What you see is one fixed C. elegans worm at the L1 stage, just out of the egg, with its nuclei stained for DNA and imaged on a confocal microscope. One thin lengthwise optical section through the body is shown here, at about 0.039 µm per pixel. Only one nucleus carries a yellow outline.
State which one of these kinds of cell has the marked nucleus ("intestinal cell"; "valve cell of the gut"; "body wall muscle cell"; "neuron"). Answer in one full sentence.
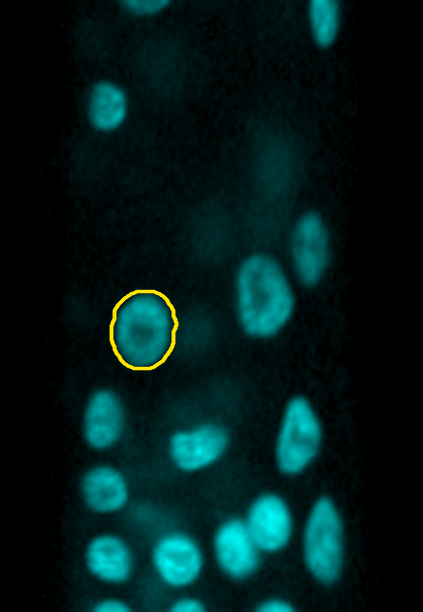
The marked nucleus is that of an intestinal cell.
